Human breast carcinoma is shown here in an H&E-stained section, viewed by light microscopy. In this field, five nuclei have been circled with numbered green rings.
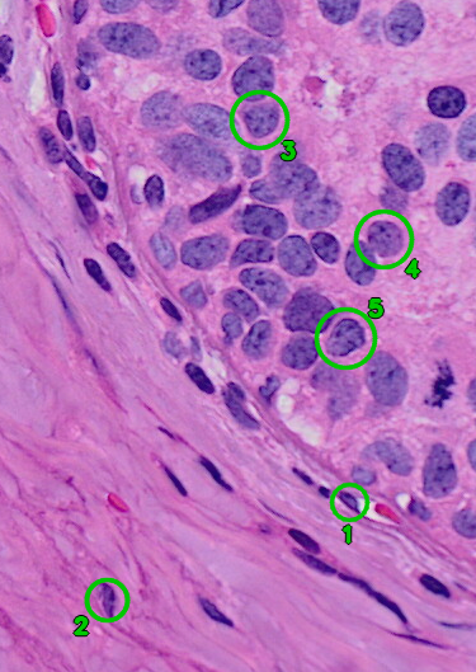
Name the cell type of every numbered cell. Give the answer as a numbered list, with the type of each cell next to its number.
1. endothelial cell
2. fibroblast
3. carcinoma cell
4. carcinoma cell
5. carcinoma cell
